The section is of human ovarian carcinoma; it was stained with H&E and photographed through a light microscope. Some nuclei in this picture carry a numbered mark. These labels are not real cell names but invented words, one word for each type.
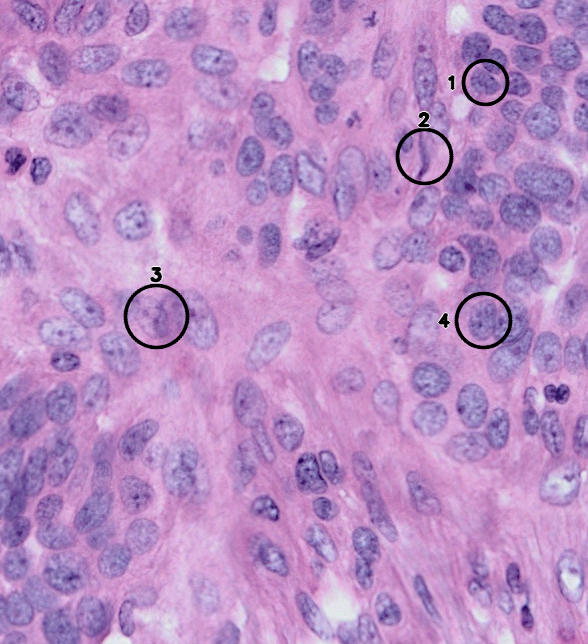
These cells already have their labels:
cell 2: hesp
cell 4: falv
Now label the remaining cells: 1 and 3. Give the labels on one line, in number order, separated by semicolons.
falv; hesp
